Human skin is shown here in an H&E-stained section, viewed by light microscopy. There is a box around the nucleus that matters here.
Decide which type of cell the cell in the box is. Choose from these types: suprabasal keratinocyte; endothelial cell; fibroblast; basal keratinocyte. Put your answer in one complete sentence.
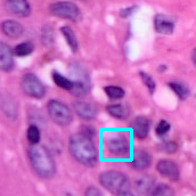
So far as cell type goes, the cell in the box is a basal keratinocyte.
